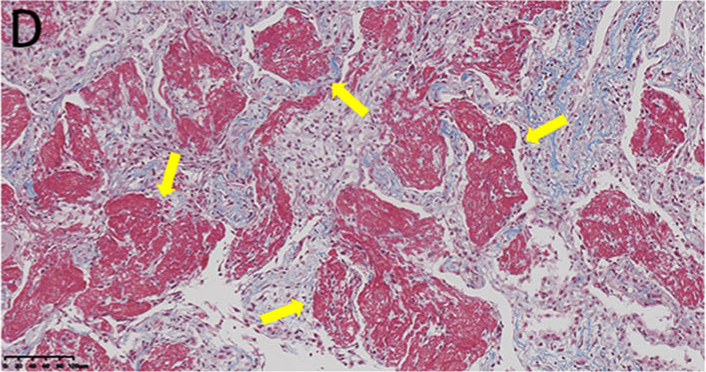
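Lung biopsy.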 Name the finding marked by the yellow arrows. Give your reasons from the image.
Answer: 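Fibrinous exudates. The arrows point to large red-staining plugs filling rounded spaces. The plugs are bordered by septa with pale blue fibres and scattered nuclei.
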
